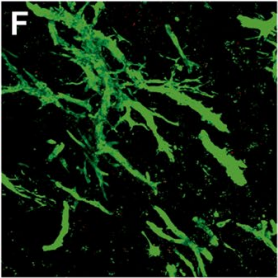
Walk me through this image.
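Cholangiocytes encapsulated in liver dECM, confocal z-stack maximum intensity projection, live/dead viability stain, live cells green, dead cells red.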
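Here the cells embedded in the gel have organised themselves into elongated, duct-like cords that run across the field and repeatedly split into side branches, making a complex branching structure rather than isolated cells. The cords are of uneven thickness, some broad and smooth-walled, others thin and spiky at their tips, and several link up with one another. Between the branches the gel is dark, with only a few small, scattered green specks.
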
